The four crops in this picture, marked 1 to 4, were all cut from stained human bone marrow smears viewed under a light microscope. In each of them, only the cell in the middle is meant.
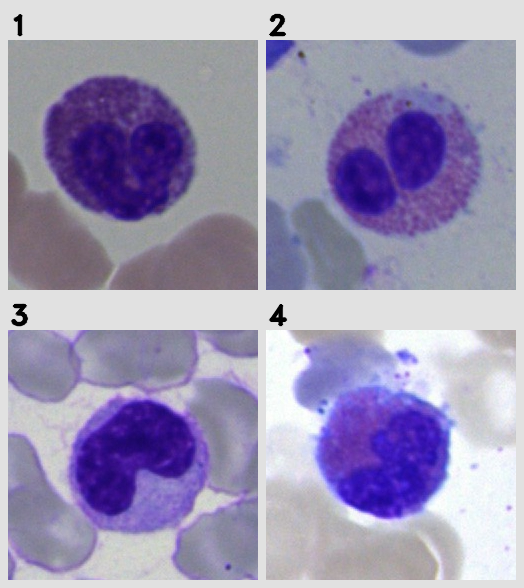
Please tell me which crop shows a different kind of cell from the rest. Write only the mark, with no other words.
3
